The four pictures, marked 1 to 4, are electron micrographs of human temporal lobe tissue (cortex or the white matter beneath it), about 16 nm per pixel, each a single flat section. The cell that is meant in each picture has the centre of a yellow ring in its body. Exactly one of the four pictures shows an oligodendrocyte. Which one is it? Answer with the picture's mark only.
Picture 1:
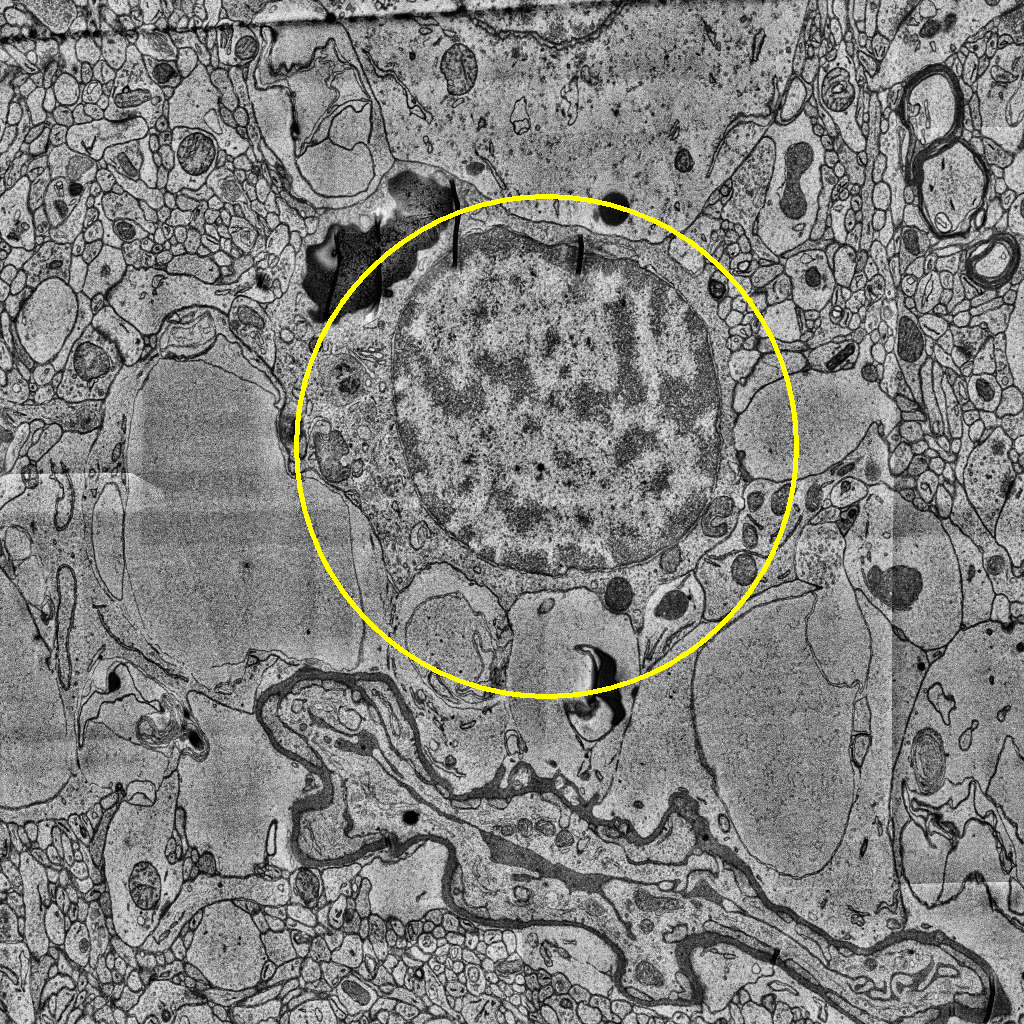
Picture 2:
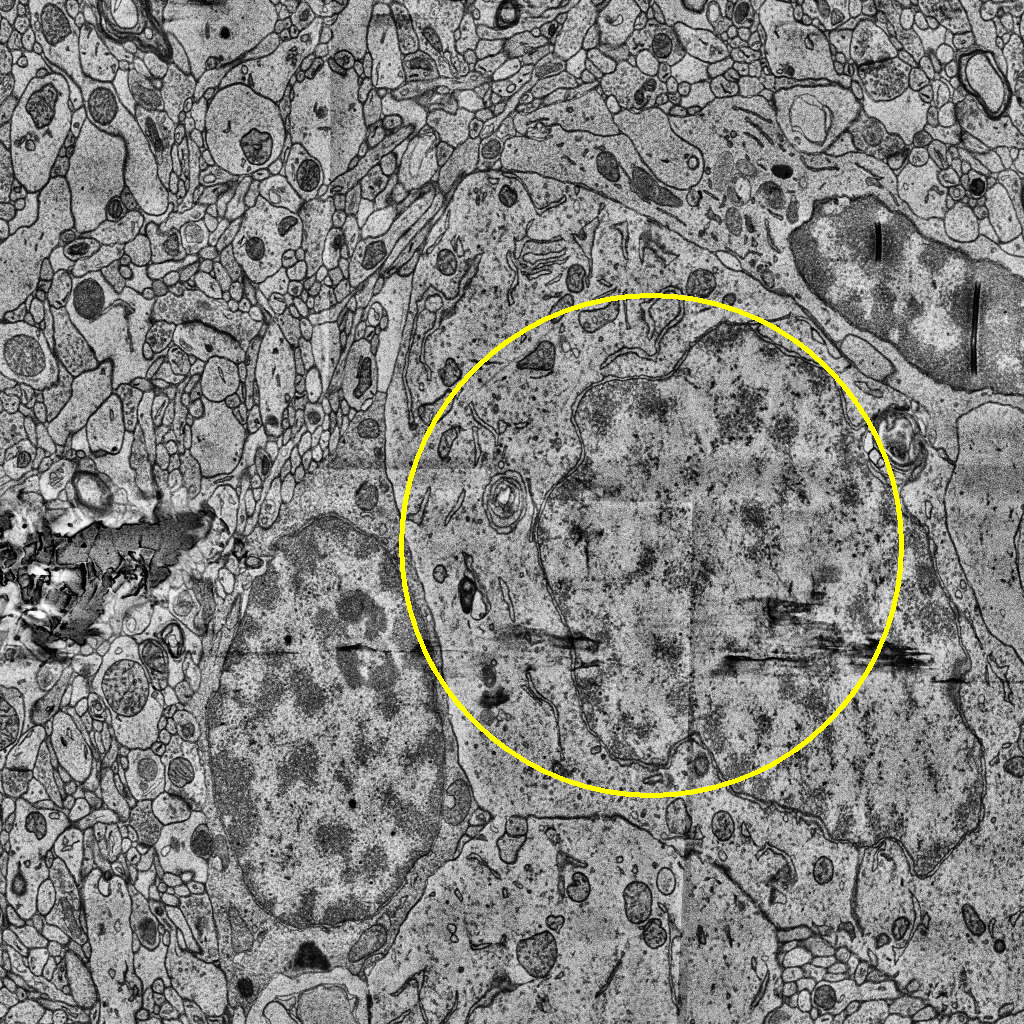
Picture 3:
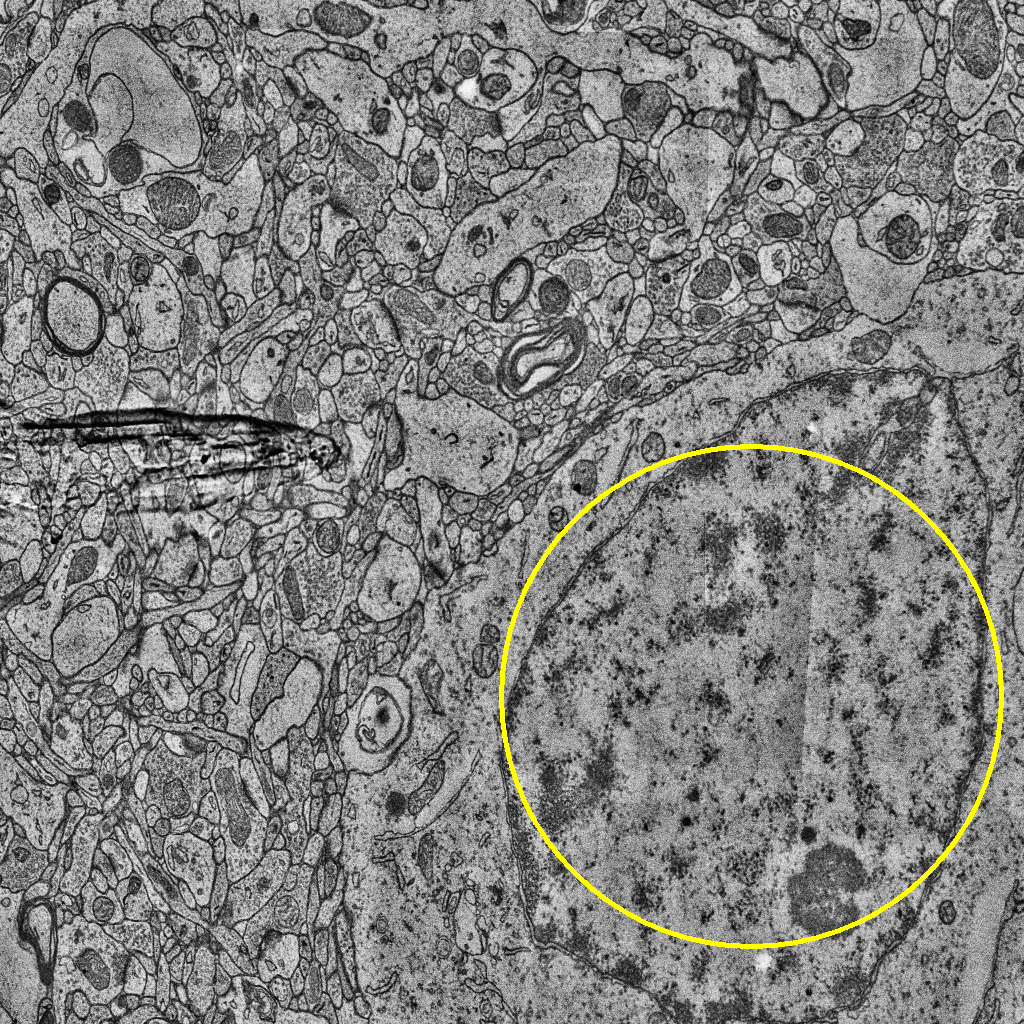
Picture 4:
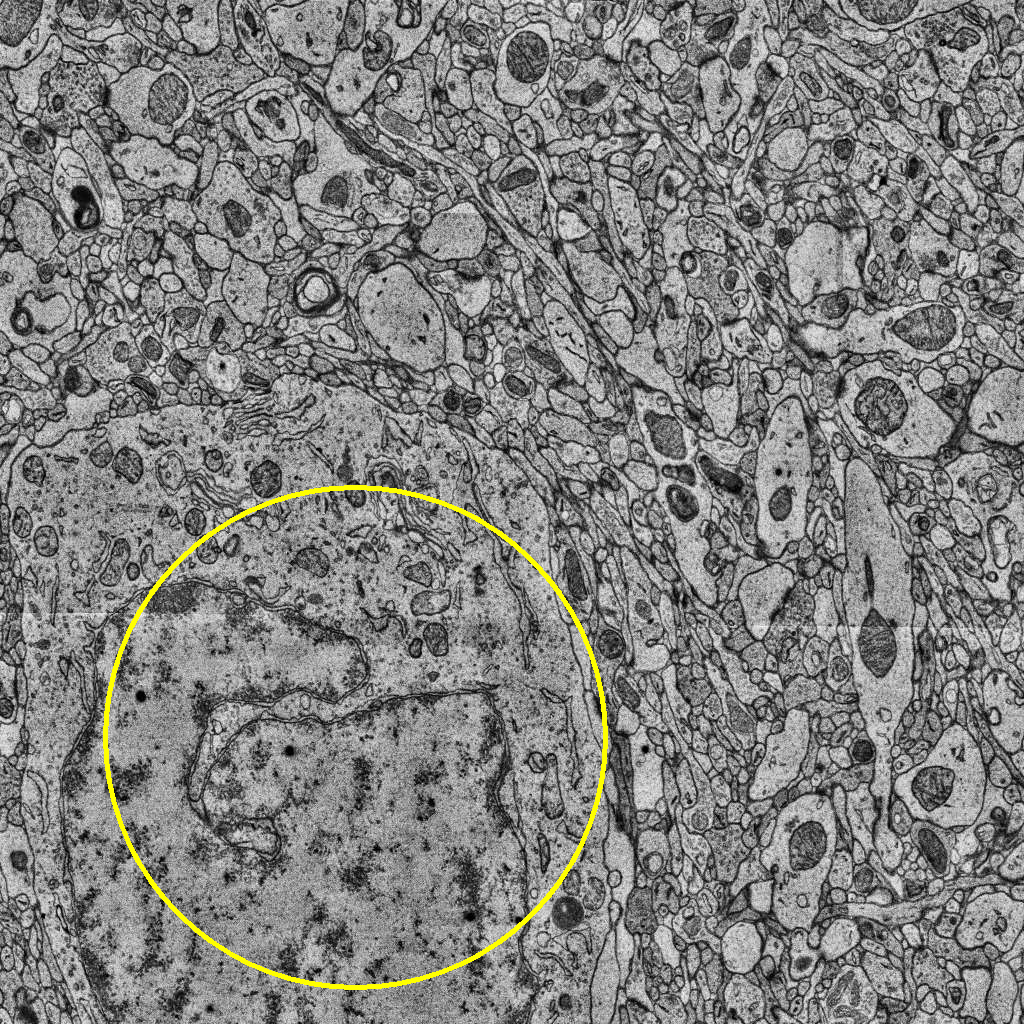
1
